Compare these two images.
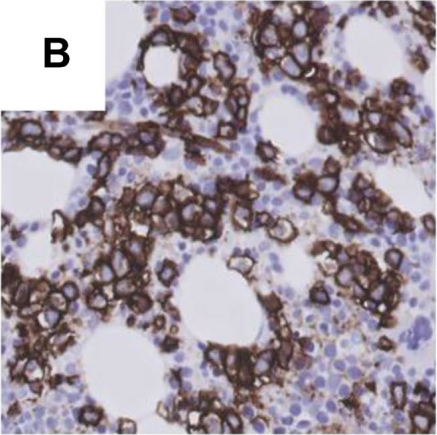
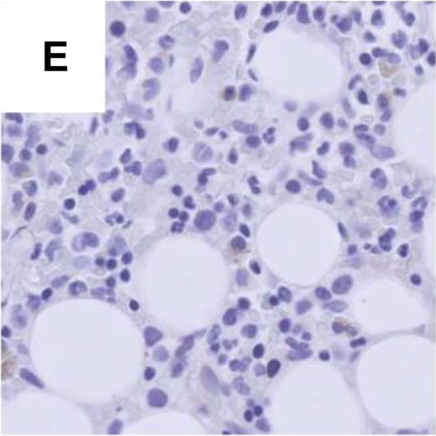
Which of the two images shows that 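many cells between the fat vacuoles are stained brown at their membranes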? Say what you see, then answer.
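The first image. Second image: the marrow cells are blue with hardly any brown stain. First image: dense clusters of cells with brown membrane rings.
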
